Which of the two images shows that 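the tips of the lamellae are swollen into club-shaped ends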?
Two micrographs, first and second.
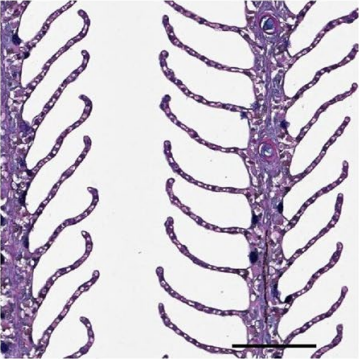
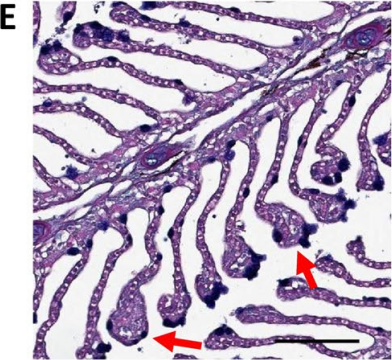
The second image.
